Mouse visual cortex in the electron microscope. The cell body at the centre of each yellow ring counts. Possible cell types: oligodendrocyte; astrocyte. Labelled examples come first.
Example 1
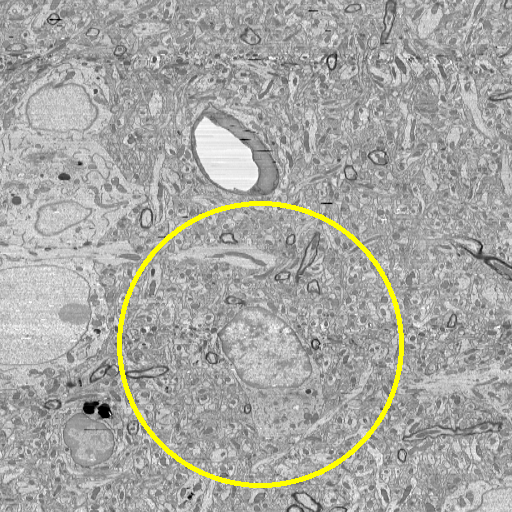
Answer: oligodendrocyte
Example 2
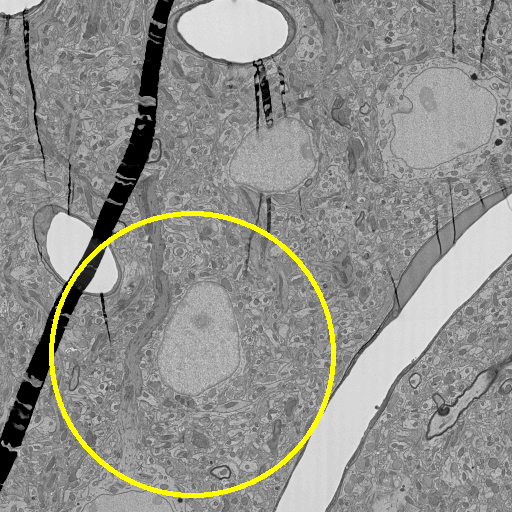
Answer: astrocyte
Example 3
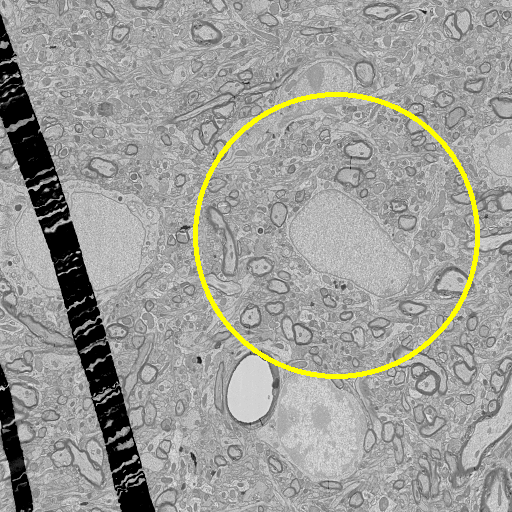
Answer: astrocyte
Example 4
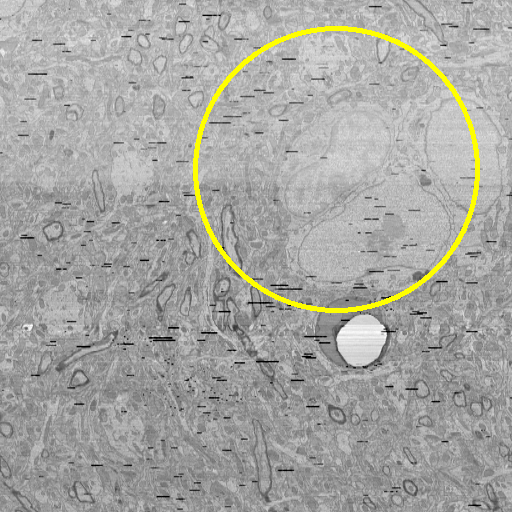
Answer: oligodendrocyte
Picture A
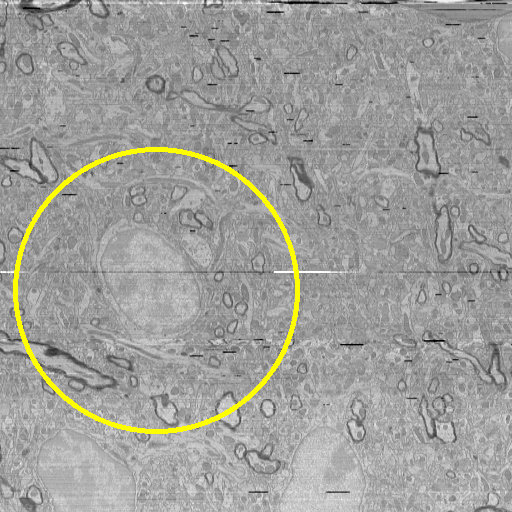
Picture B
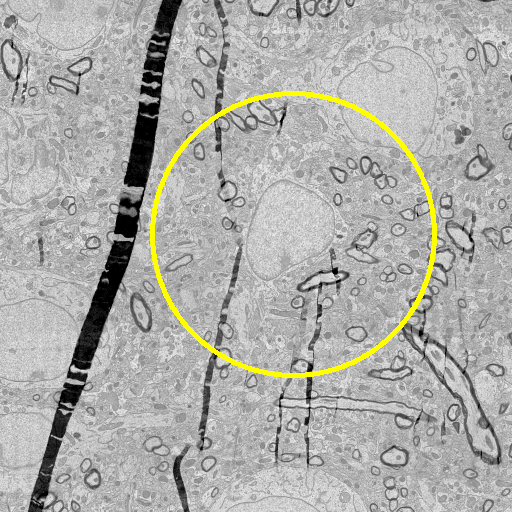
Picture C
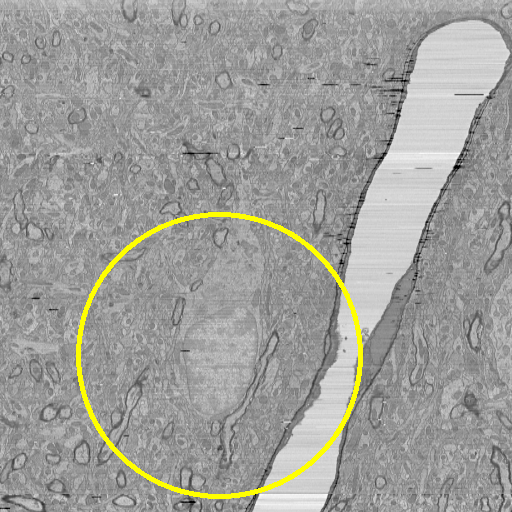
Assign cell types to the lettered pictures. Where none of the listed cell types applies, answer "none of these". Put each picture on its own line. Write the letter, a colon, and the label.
A: oligodendrocyte
B: astrocyte
C: oligodendrocyte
